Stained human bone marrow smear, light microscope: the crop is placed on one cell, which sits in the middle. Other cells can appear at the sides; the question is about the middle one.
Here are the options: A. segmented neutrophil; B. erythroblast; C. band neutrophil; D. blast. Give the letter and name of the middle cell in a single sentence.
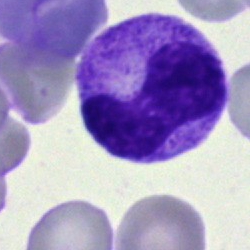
The cell shown centrally is a band neutrophil; option C is the correct option.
